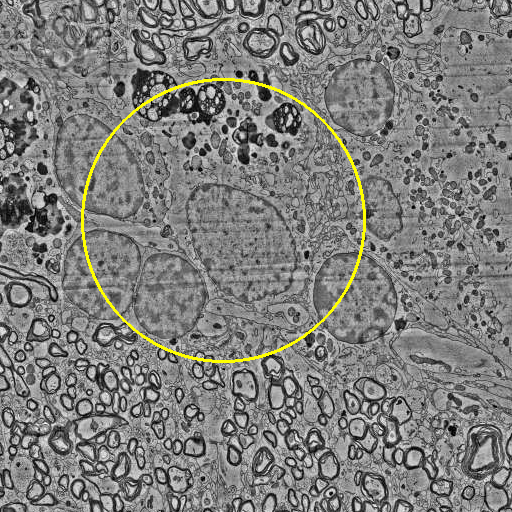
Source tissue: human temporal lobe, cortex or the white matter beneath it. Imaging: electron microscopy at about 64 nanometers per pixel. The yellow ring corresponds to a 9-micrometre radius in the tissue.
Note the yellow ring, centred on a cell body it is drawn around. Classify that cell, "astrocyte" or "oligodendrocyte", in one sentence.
The cell the ring is centred on is an astrocyte.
